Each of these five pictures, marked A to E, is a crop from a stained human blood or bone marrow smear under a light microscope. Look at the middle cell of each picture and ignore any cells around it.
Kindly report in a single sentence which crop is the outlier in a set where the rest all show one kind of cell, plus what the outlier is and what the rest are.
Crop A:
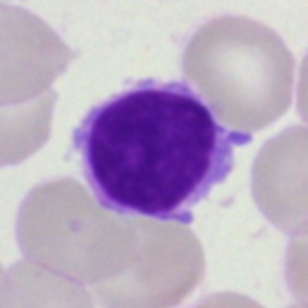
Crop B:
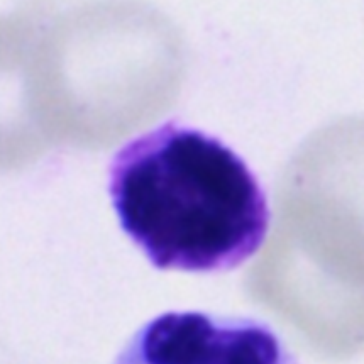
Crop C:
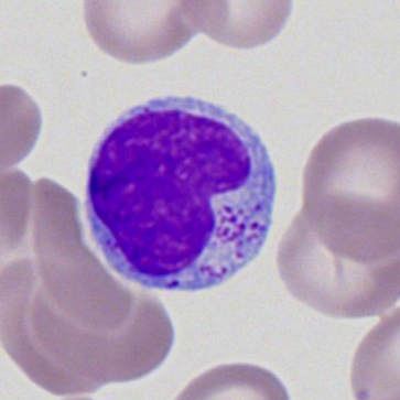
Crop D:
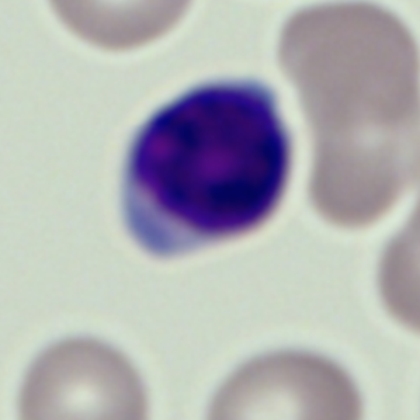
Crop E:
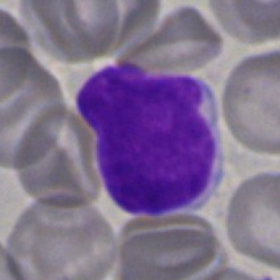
Unlike the other crops, all showing lymphocytes, crop B is a basophil.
